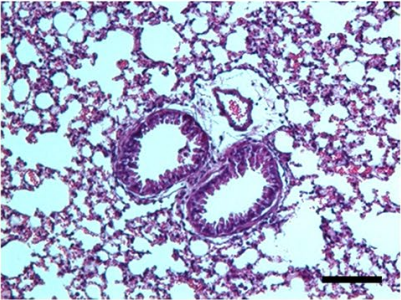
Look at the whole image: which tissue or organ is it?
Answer: lungs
